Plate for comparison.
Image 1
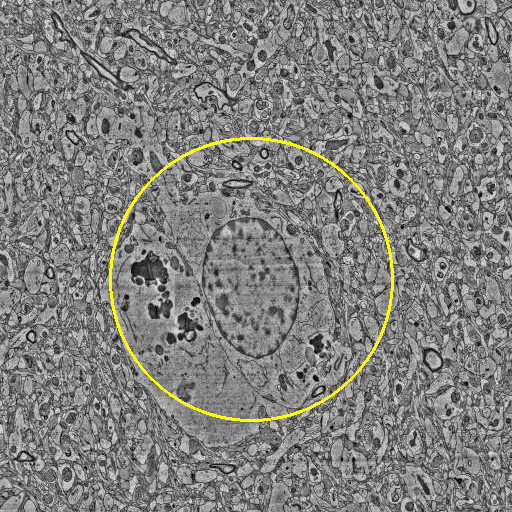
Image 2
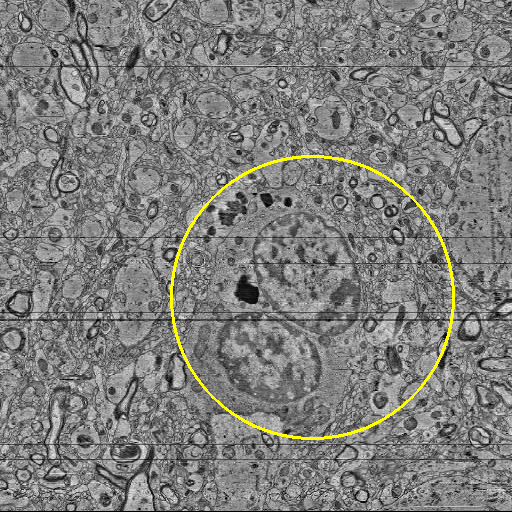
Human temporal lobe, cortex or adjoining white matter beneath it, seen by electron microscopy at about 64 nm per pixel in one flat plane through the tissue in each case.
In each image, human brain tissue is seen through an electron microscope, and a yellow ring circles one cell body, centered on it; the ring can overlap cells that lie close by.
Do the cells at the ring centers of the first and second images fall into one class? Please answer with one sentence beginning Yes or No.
No, the first and second images show two classes of cell at the ring centers.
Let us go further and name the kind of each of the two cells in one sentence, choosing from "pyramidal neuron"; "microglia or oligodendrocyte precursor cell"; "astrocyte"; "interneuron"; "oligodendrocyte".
The ring of the first picture is on an astrocyte, the ring of the second on an oligodendrocyte.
